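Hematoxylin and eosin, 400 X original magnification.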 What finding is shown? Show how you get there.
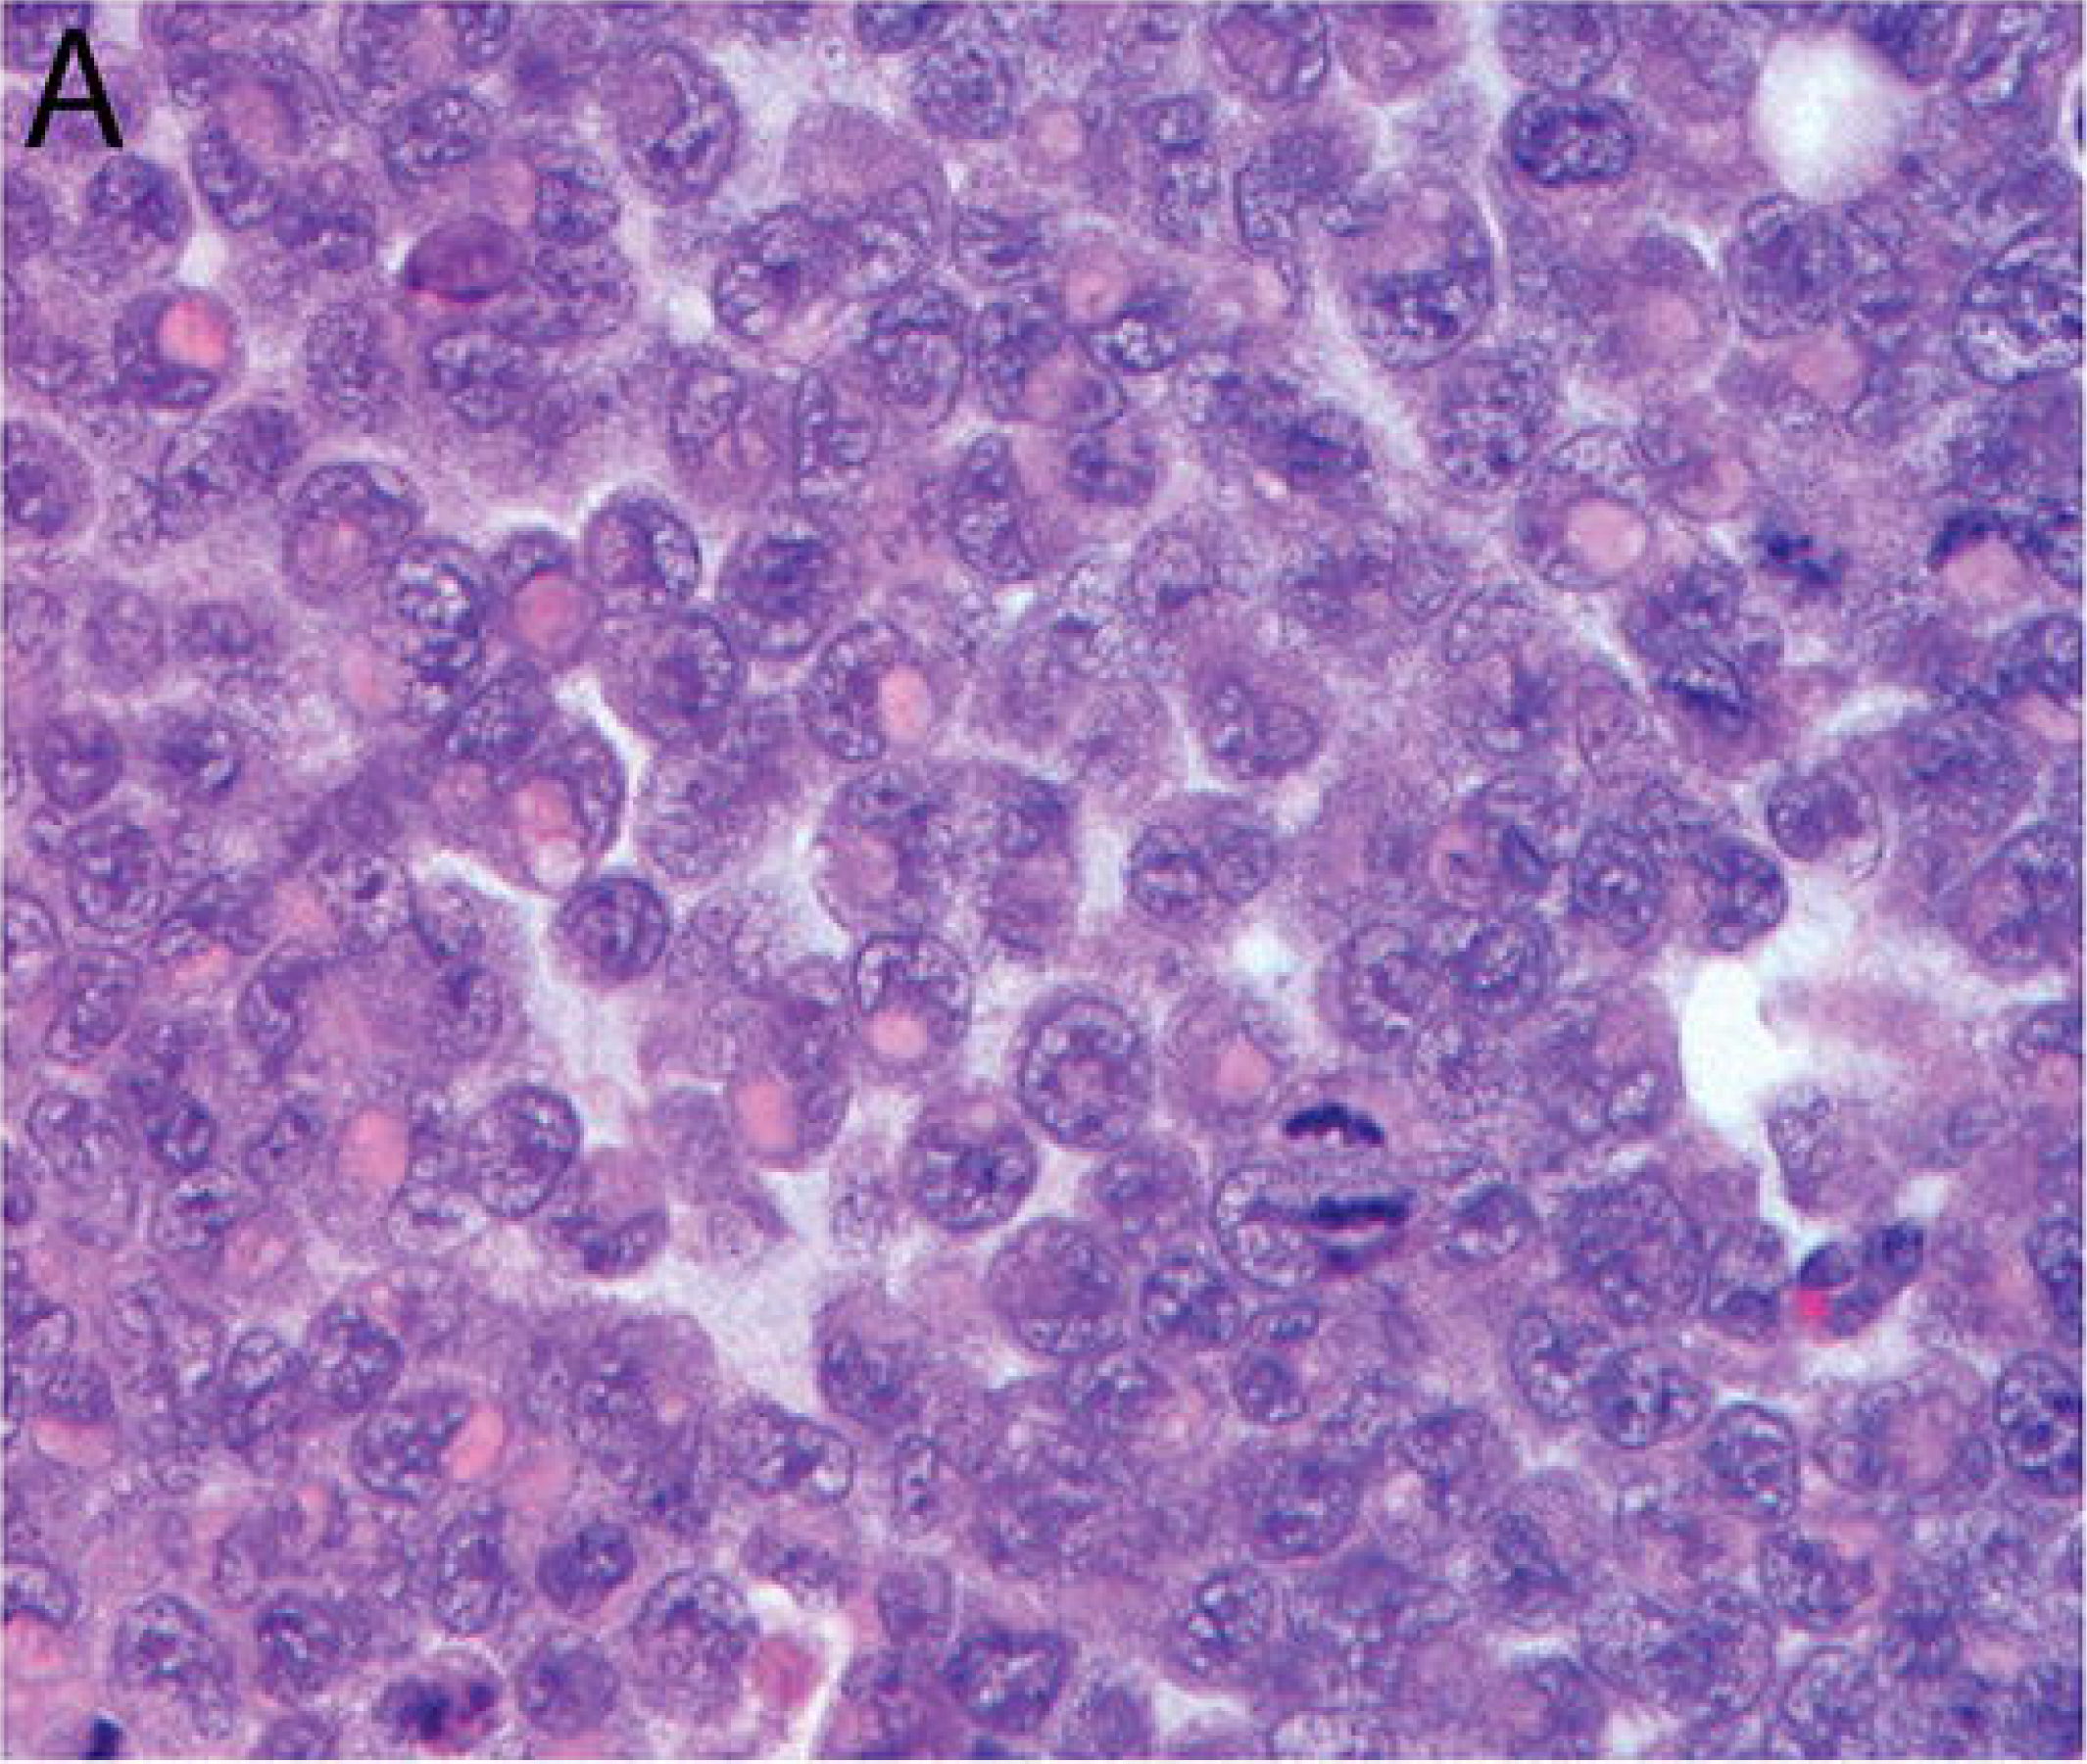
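Many cells carry round, glassy pink globules in their cytoplasm. The globules sit beside the nucleus and press against it. That points to this answer: inclusion-like eosinophilic cytoplasm.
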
